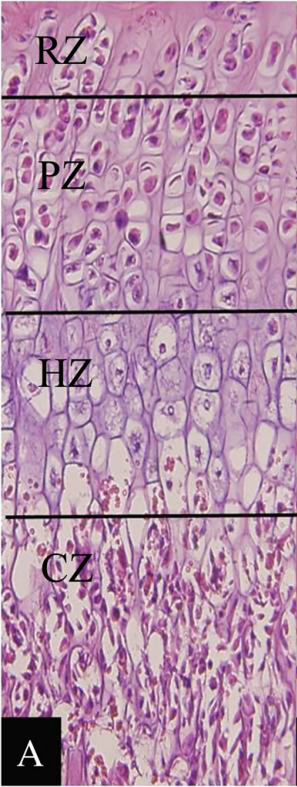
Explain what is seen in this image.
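Epiphyseal growth plate cartilage in which chondrocytes lie in lacunae in a pale pink to lilac matrix, small near the top and arranged in stacked columns further down. Toward the lower half the chondrocytes become large and swollen with clear pale lacunae, and below them the cartilage is replaced by a loose, densely cellular area with spindle-shaped cells and red blood cells.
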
